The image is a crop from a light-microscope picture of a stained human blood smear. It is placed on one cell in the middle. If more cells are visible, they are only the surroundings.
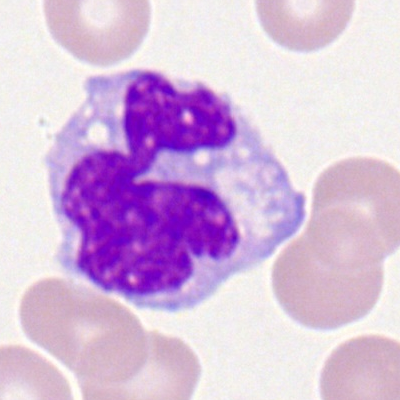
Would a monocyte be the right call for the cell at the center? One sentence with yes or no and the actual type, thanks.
Yes, the cell centred in the field of view is a monocyte.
